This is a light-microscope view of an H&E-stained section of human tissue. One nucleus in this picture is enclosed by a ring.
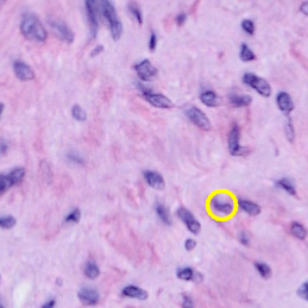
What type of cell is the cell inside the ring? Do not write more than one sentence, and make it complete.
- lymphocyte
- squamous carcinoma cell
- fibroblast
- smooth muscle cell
As for its identity, the cell inside the ring is a smooth muscle cell.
